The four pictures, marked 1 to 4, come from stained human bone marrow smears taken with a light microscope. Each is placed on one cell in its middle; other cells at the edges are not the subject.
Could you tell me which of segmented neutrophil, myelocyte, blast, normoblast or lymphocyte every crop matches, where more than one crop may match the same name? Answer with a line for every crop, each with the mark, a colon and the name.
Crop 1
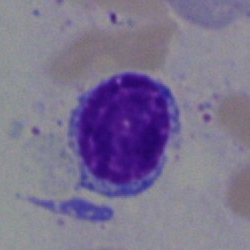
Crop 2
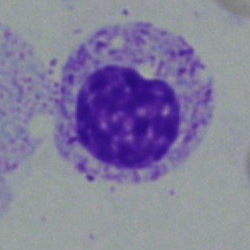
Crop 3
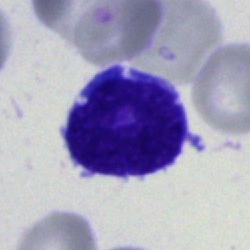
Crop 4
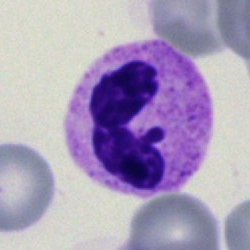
1: lymphocyte
2: myelocyte
3: blast
4: segmented neutrophil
